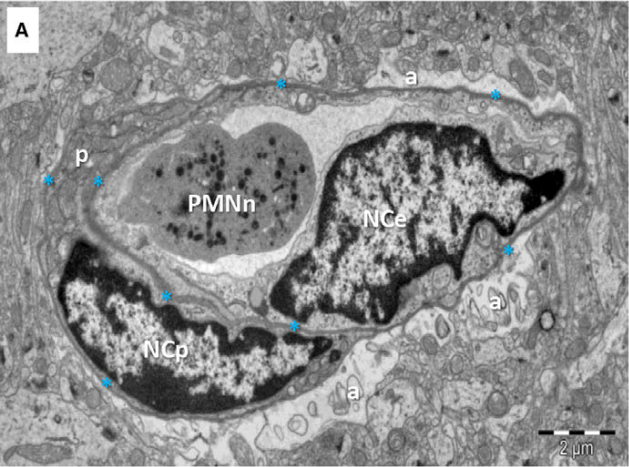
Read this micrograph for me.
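A brain capillary in cross-section with an endothelial cell whose irregular nucleus has dense peripheral chromatin, and a pericyte nucleus lying close alongside it. A thin, even basement membrane surrounds the endothelium and encloses the pericyte, and pale astrocyte end-feet and neuropil surround the vessel.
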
